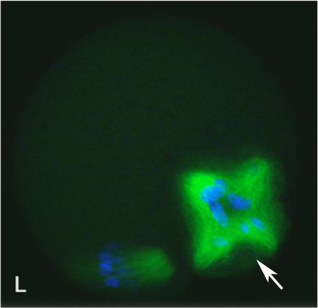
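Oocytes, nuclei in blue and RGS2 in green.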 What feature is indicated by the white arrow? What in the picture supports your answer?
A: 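Muti-polar spindle. The green spindle has several pointed poles rather than two. Blue chromosomes lie scattered within the irregular green spindle.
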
